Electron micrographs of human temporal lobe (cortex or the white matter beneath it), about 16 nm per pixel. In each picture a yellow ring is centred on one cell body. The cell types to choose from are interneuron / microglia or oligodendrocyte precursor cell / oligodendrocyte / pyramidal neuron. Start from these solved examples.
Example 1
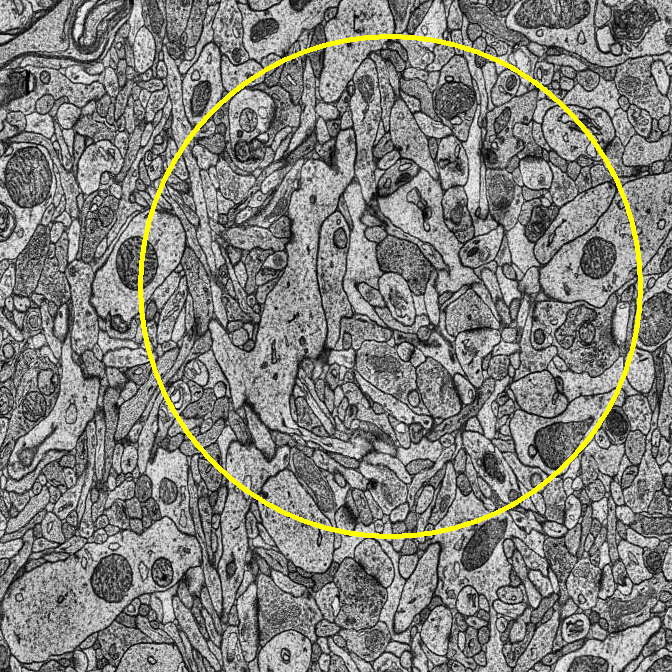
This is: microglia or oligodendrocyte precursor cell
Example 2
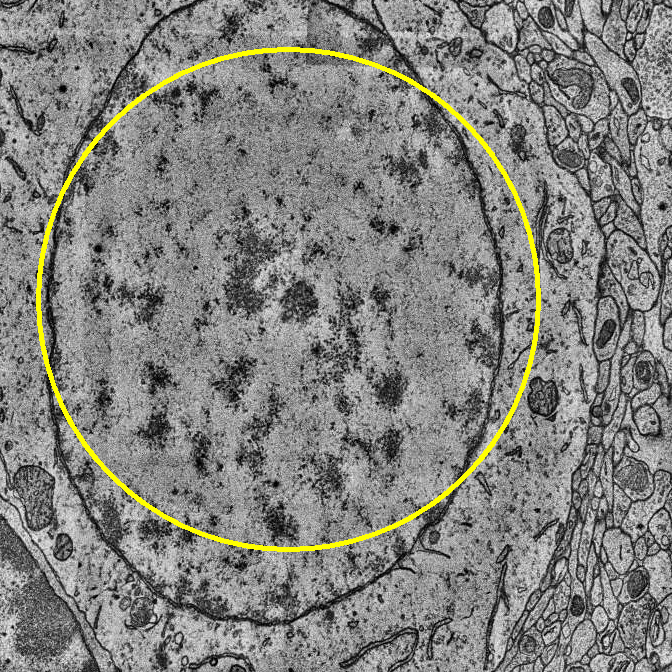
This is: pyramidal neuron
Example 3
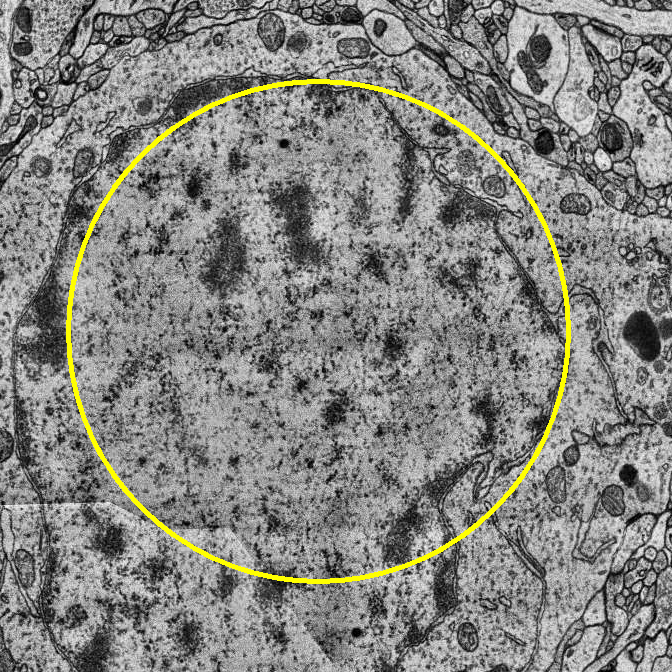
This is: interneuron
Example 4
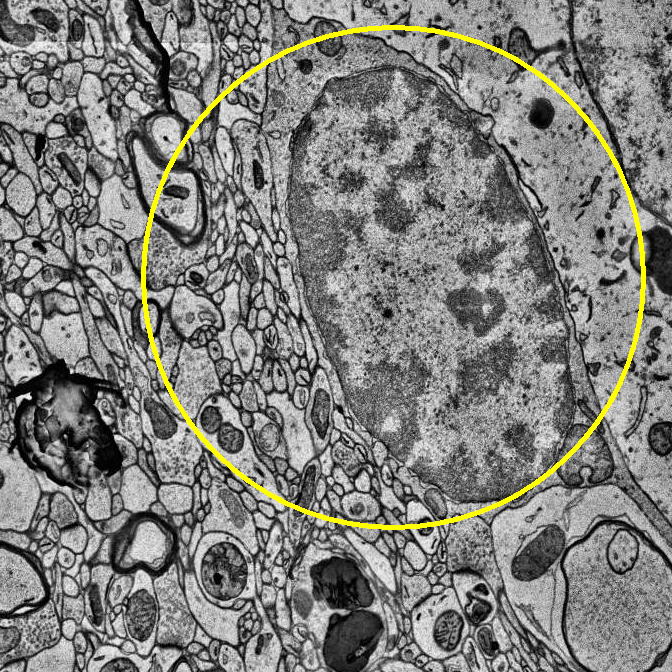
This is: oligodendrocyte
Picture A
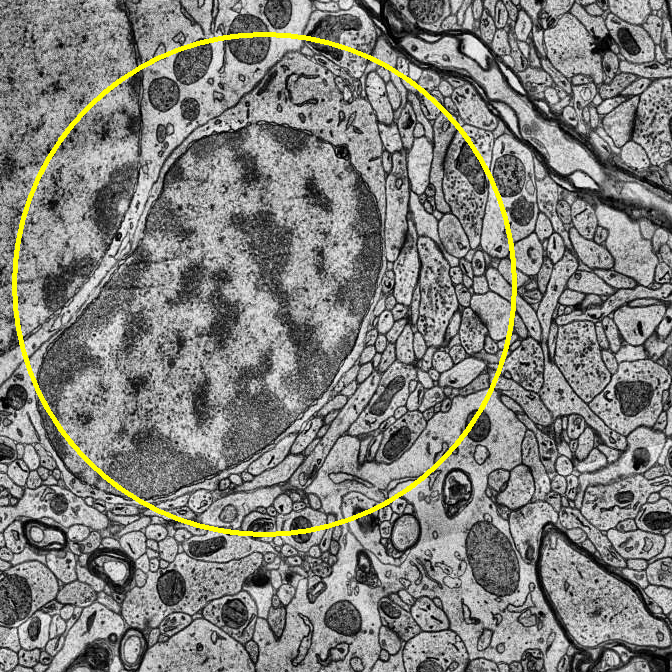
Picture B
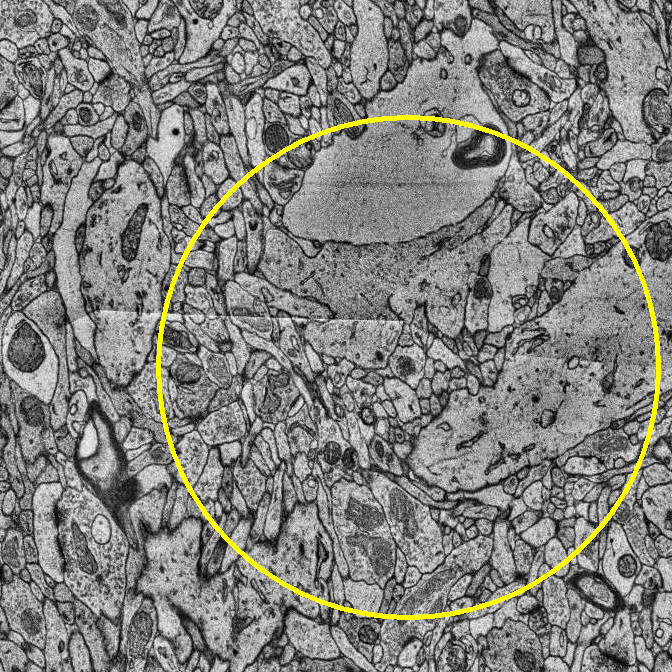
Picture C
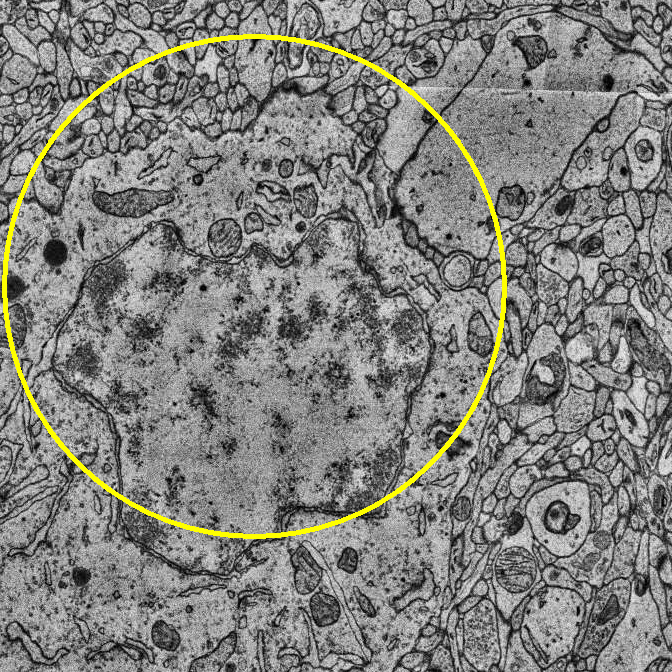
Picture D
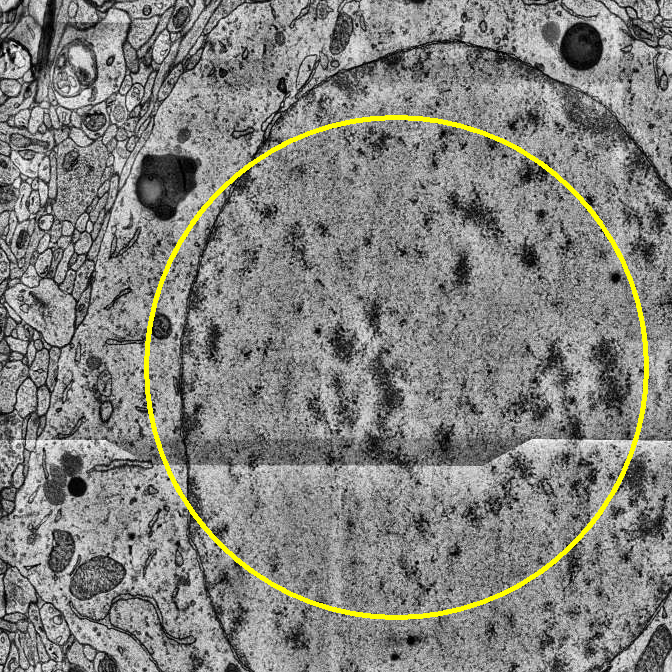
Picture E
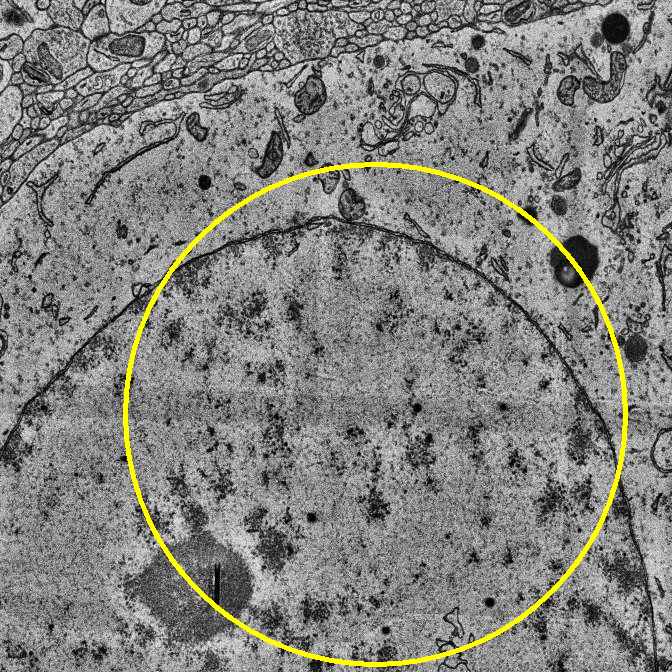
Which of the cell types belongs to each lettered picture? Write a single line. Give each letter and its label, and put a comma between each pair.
A microglia or oligodendrocyte precursor cell, B microglia or oligodendrocyte precursor cell, C interneuron, D pyramidal neuron, E pyramidal neuron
